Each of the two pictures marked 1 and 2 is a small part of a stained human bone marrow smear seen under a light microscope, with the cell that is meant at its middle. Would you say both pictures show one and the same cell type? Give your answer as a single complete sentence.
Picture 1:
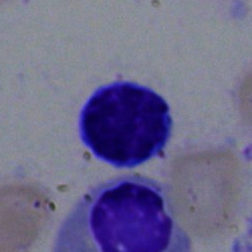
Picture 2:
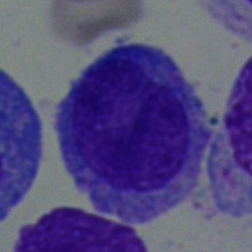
No. Picture 1 shows a lymphocyte, but picture 2 shows a blast.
